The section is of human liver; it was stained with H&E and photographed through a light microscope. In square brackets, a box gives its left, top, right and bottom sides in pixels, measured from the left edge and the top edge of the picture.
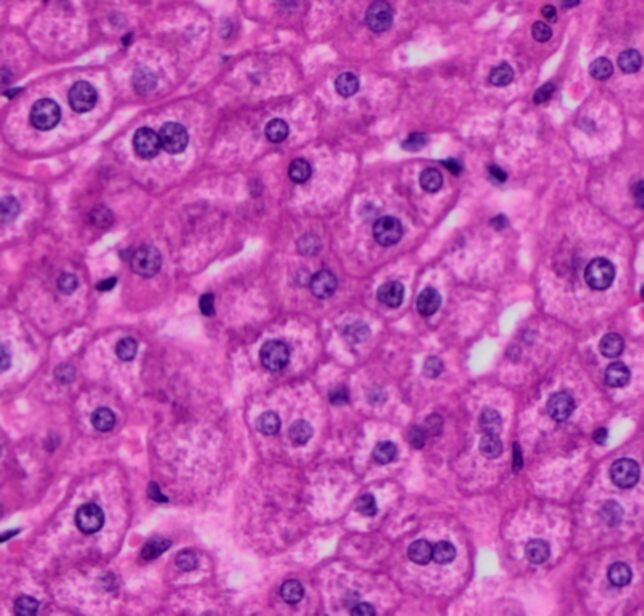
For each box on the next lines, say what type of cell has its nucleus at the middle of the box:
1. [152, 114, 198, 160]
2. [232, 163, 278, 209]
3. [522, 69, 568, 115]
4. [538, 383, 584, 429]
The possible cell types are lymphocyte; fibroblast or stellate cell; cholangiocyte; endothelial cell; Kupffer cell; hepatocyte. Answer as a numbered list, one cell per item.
1. hepatocyte
2. hepatocyte
3. Kupffer cell
4. hepatocyte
